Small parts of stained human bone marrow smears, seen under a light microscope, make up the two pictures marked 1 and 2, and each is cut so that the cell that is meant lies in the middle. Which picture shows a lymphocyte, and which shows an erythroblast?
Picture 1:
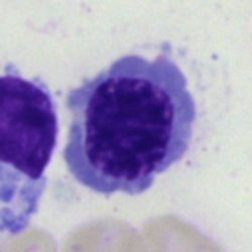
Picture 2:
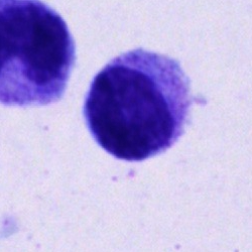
1: erythroblast
2: lymphocyte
